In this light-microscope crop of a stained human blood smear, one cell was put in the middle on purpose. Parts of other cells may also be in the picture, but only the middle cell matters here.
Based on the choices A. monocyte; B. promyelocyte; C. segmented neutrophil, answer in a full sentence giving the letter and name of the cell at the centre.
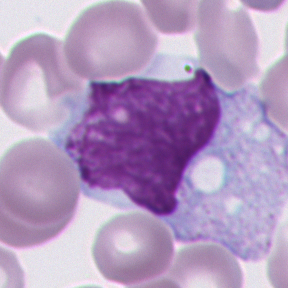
Given that the cell in the middle is a monocyte, option A is correct.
